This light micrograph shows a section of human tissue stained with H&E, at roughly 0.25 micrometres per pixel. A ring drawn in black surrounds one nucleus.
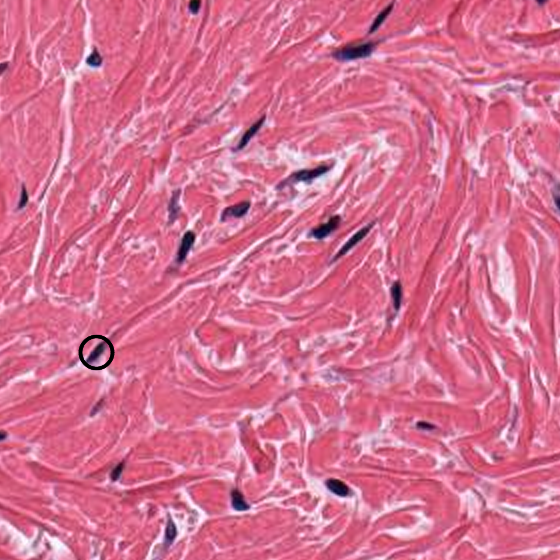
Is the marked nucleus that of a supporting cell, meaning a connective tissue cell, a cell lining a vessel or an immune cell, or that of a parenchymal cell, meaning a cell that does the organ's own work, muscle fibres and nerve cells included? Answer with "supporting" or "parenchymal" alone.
supporting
